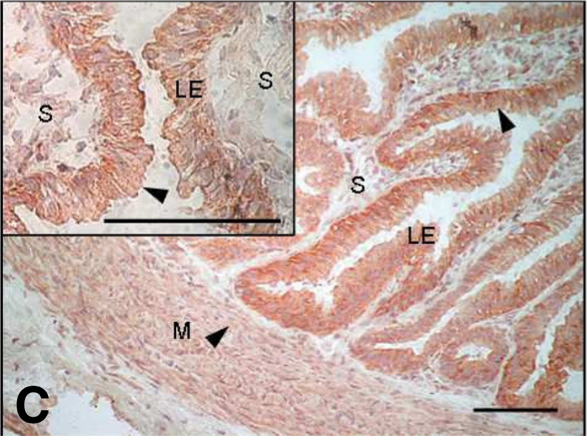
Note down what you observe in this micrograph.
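Oviduct wall with mucosal folds lined by a tall columnar luminal epithelium resting on a loose cellular stroma, with a band of smooth muscle below. The epithelial cells are packed side by side with elongated nuclei and red-brown cytoplasm, much stronger than the paler stroma and muscle; the inset shows the columnar epithelial cells at higher magnification with the colour filling their cytoplasm.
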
